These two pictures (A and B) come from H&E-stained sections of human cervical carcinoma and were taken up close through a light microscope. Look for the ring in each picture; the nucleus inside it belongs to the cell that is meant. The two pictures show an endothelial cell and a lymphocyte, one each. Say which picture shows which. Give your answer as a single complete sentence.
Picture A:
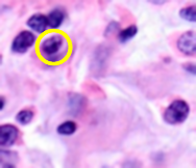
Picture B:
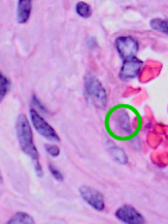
Picture B shows an endothelial cell, while picture A shows a lymphocyte.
